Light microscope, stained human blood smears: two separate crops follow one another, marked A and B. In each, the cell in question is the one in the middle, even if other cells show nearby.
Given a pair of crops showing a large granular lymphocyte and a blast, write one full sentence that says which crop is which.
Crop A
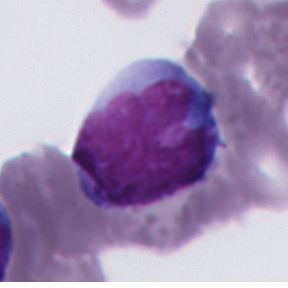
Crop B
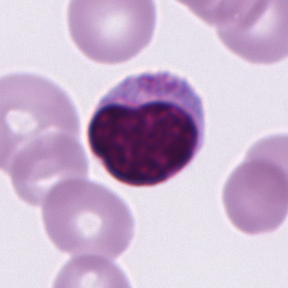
Crop A has been identified as a blast, and crop B has been identified as a large granular lymphocyte.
